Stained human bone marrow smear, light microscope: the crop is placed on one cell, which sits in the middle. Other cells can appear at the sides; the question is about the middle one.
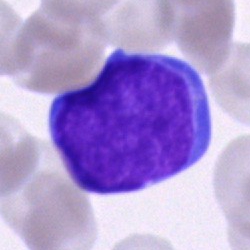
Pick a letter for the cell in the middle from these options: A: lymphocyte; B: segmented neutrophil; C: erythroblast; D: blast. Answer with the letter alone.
D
